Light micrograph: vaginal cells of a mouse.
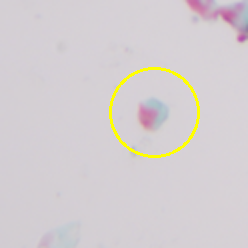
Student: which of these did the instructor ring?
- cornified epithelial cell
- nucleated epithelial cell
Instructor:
The cell I ringed is a nucleated epithelial cell.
